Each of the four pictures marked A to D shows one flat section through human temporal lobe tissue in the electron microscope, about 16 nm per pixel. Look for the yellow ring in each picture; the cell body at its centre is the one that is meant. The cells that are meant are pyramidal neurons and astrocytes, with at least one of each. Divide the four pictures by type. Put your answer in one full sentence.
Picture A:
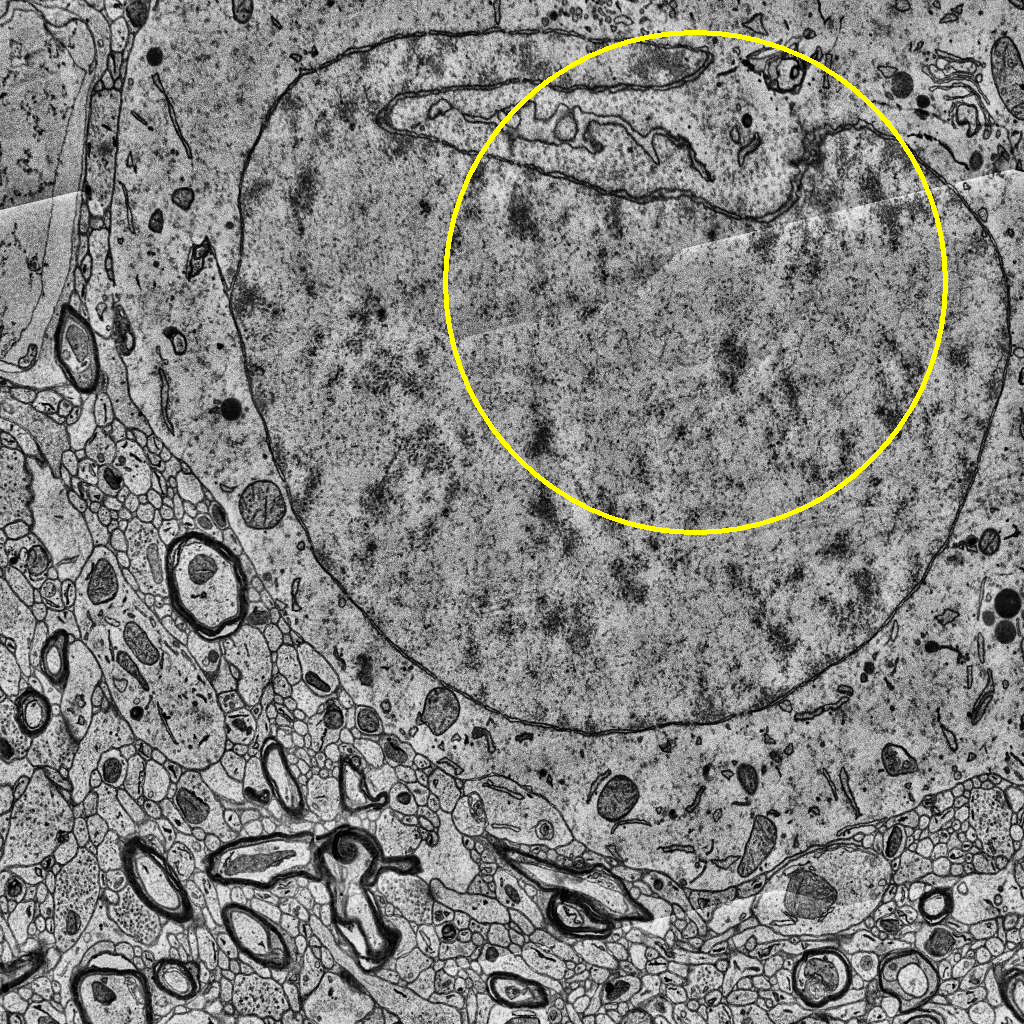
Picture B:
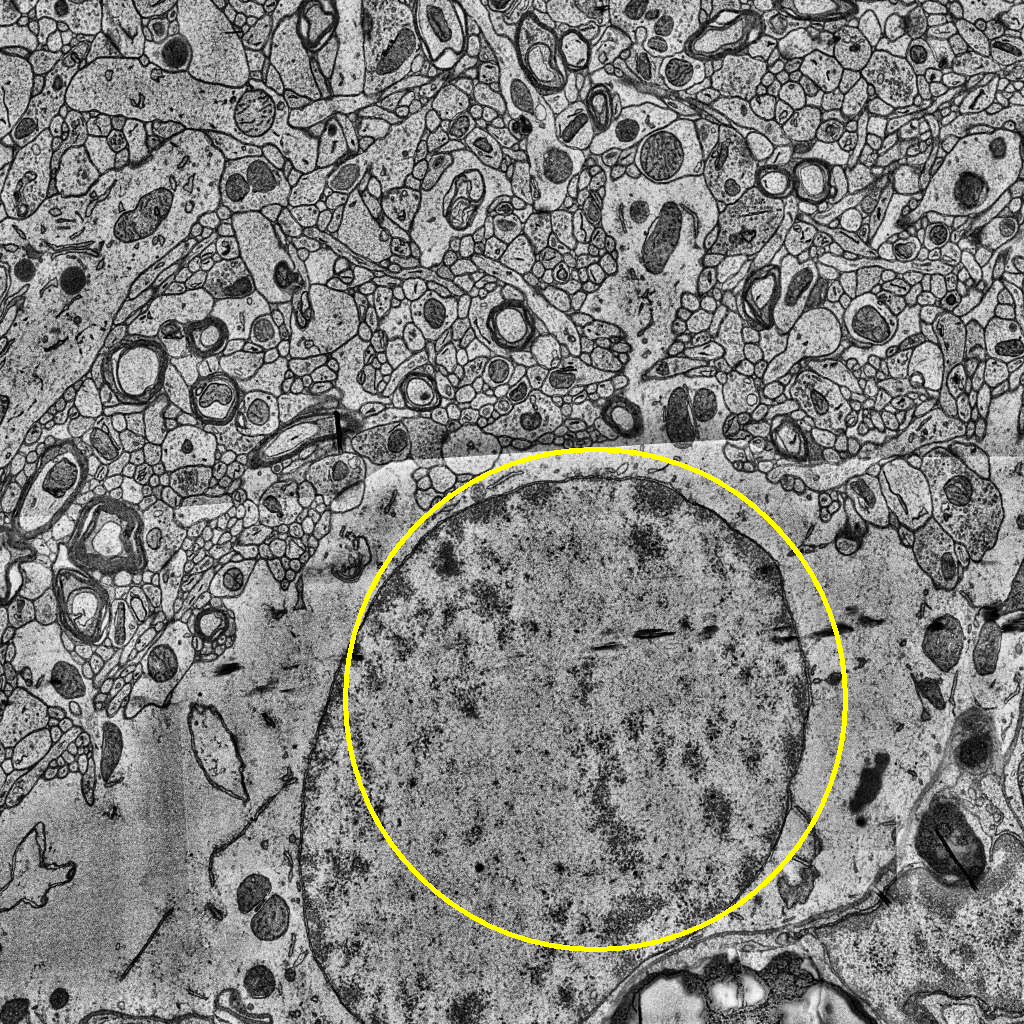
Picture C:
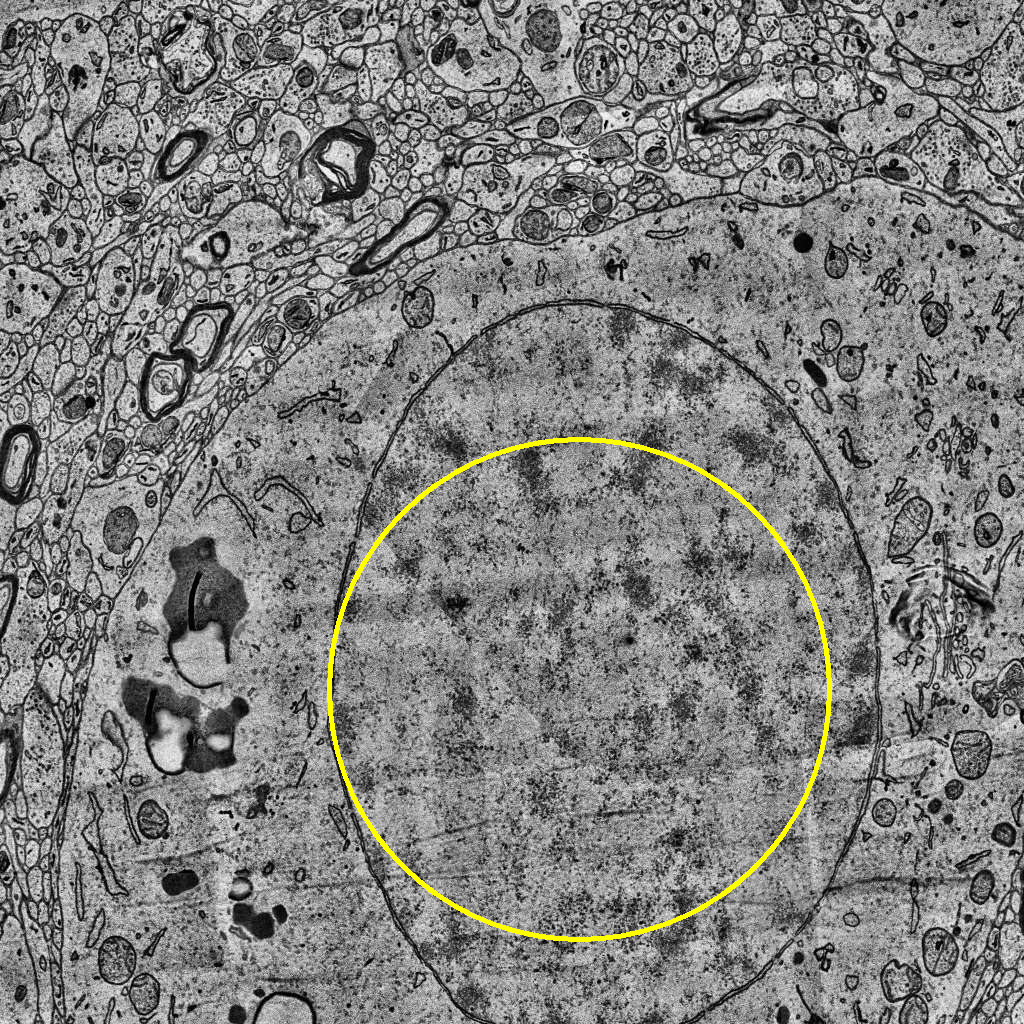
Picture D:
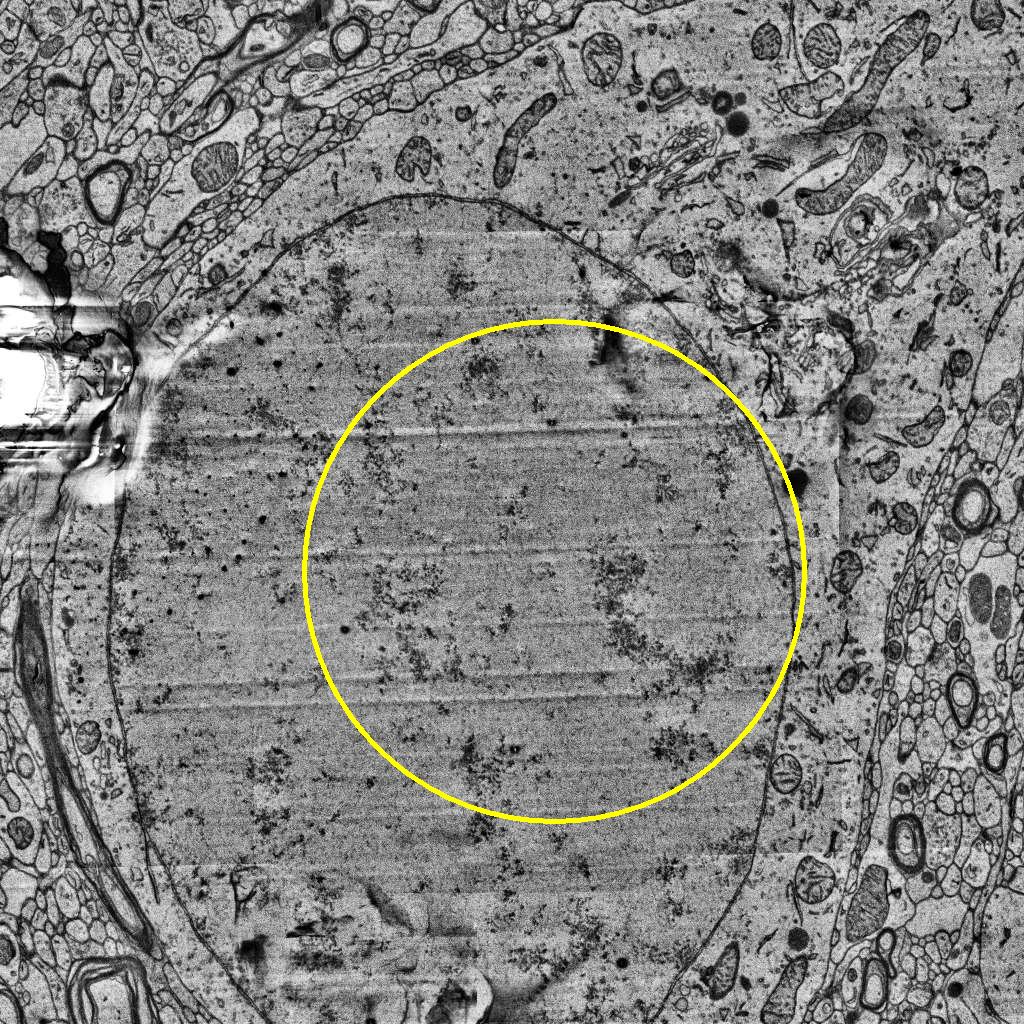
Pictures A, C and D show pyramidal neurons, while picture B shows an astrocyte.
